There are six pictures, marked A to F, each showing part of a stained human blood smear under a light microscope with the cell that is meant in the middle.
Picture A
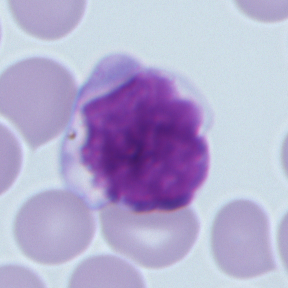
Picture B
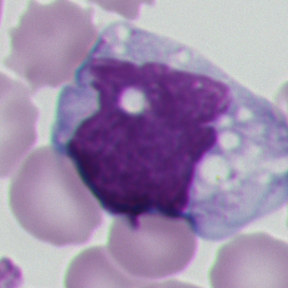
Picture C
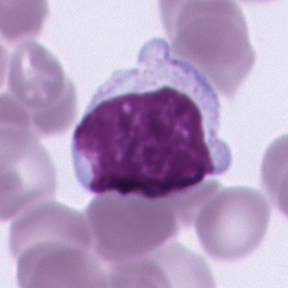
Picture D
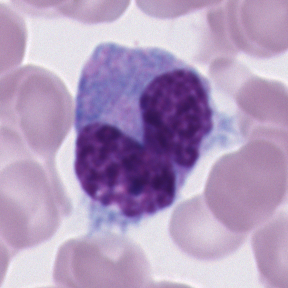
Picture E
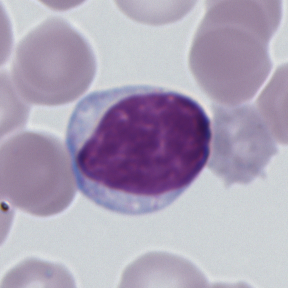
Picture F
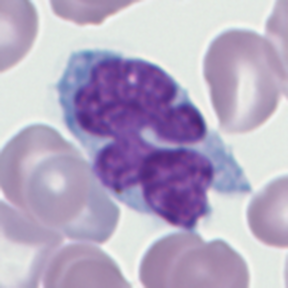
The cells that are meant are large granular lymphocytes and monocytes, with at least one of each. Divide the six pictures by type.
A: large granular lymphocyte
B: monocyte
C: large granular lymphocyte
D: monocyte
E: large granular lymphocyte
F: monocyte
